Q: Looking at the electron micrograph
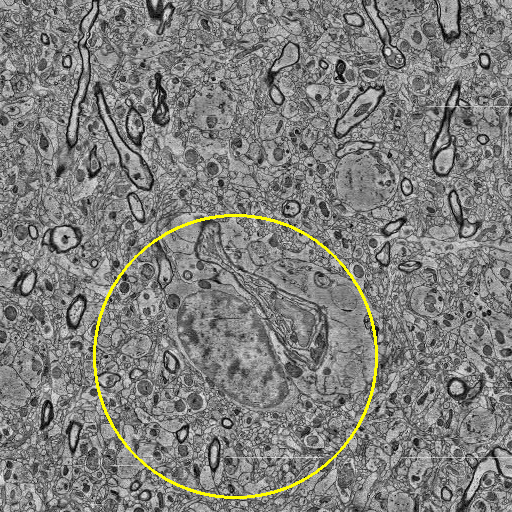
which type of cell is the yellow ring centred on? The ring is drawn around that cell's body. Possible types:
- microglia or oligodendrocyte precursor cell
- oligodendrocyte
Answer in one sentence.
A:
The yellow ring is centred on an oligodendrocyte.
